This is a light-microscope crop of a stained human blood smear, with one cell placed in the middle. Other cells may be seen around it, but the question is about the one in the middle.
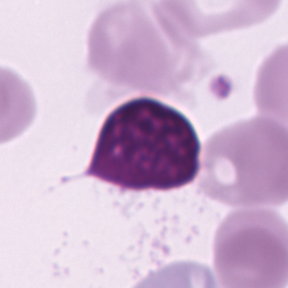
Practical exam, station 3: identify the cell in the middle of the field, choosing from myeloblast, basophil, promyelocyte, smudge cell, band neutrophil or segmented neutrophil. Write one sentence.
The cell centered in this field of view is a smudge cell.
